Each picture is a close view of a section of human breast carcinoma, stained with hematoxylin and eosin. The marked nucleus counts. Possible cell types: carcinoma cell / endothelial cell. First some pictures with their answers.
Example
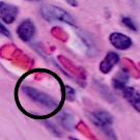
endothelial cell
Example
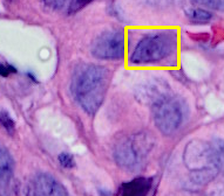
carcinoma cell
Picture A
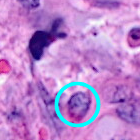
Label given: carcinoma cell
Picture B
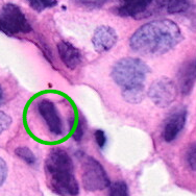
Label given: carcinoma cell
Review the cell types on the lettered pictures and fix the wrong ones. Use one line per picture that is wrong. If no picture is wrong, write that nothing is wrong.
A should be endothelial cell, not carcinoma cell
